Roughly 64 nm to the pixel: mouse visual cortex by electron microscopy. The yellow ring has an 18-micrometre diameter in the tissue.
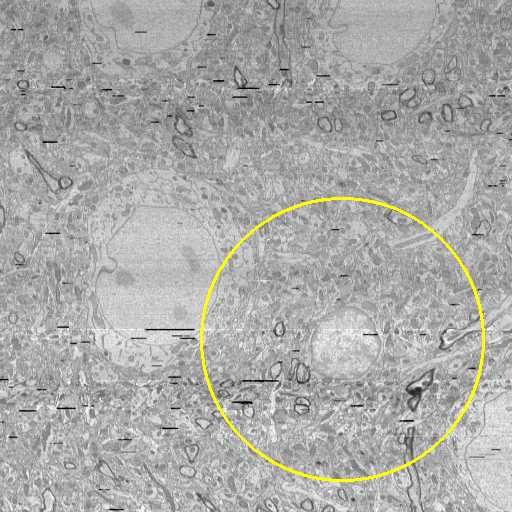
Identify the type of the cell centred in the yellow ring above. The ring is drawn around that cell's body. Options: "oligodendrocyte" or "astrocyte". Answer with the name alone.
oligodendrocyte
